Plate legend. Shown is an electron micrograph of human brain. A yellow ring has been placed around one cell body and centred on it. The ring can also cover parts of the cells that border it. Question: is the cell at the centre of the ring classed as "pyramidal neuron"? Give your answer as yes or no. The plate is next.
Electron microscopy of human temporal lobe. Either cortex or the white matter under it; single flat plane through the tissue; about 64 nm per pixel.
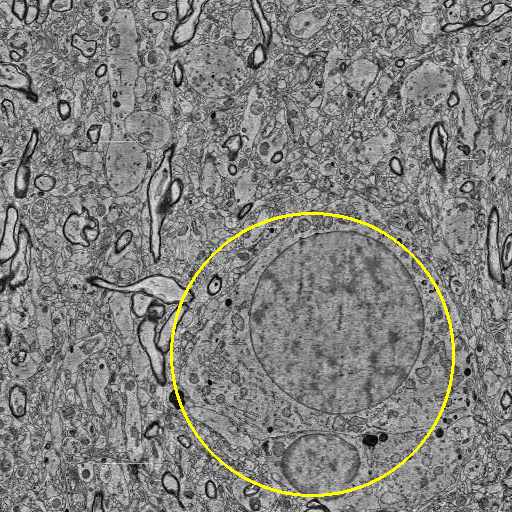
No, the ringed cell is of another kind.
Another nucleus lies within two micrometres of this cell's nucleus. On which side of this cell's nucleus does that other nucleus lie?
The other nucleus is positioned below it.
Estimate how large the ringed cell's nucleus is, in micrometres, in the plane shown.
Roughly 12 micrometres across, measured in this plane.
